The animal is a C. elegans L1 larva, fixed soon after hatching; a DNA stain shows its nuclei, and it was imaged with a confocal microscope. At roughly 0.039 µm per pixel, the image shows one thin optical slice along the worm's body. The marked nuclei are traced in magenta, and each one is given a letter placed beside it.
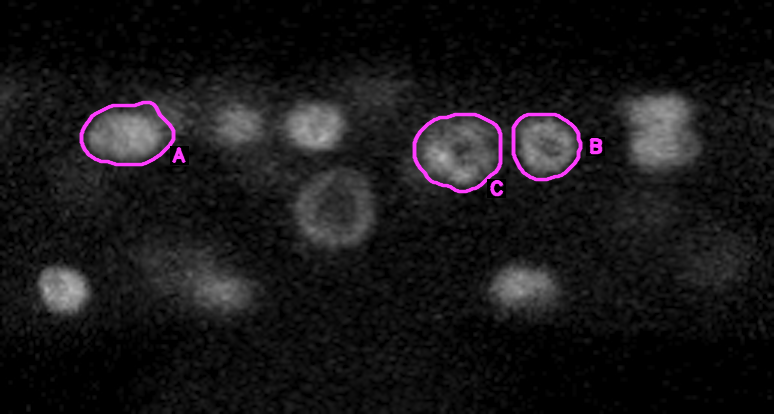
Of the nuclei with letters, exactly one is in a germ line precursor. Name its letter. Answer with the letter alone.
C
